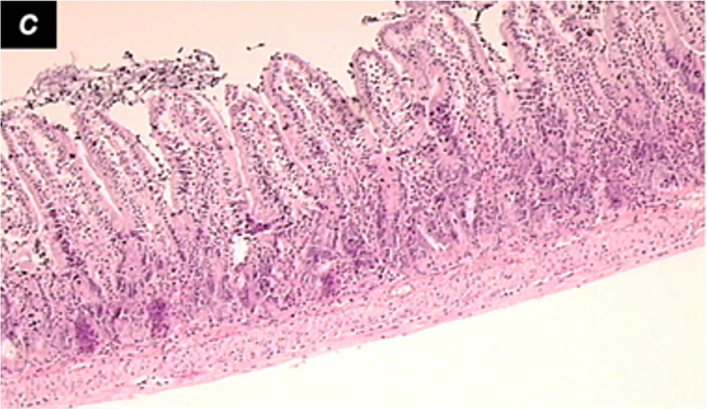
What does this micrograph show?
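Small intestinal wall with villi projecting toward the lumen. The villi are lined by a single layer of columnar epithelium with purple nuclei over a cellular core. Their bases lead into a layer of crypts with darker purple foci. A pale pink band of submucosa and smooth muscle lies along the lower edge. Some detached material overlies the villus tips at the upper left.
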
